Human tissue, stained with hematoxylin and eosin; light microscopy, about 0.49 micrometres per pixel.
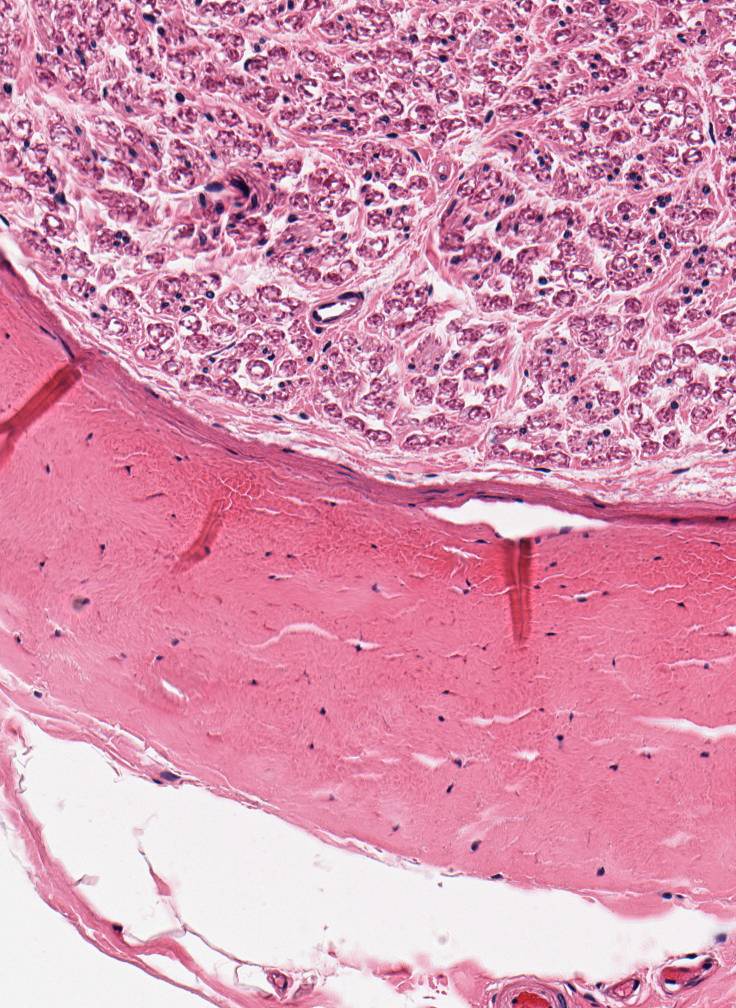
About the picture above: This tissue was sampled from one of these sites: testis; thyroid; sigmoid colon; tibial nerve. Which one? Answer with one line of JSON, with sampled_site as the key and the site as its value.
{"sampled_site": "tibial nerve"}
